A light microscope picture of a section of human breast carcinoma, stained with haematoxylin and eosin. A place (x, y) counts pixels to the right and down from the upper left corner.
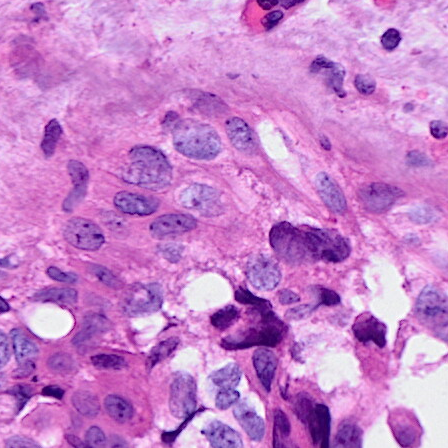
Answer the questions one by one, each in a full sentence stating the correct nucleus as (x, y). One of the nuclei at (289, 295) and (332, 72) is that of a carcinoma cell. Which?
The nucleus of the pair that lies within a carcinoma cell is at (289, 295).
